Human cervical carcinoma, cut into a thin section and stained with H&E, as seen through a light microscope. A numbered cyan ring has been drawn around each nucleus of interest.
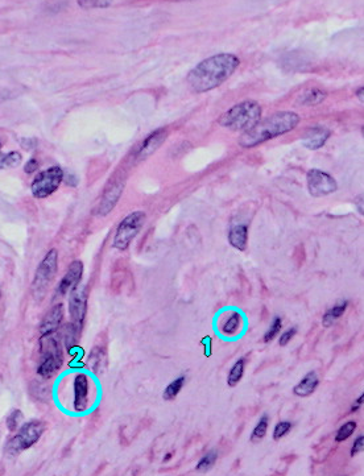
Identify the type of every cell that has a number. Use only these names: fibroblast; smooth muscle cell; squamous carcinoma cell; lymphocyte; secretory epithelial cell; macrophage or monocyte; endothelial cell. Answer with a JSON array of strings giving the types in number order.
["smooth muscle cell", "lymphocyte"]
